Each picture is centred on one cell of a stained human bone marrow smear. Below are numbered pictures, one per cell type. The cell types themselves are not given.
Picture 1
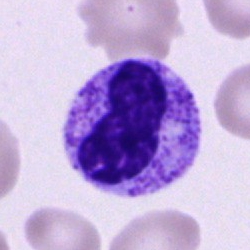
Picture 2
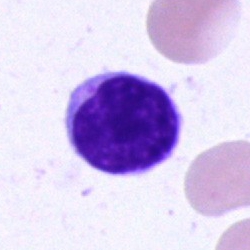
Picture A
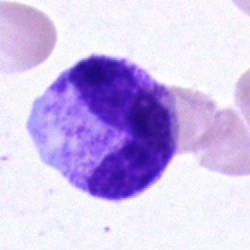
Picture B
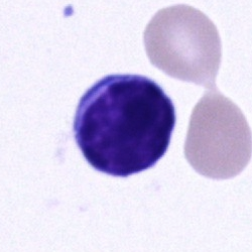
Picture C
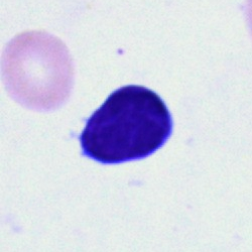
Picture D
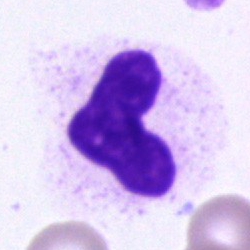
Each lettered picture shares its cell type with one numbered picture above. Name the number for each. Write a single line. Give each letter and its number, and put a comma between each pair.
A 1, B 2, C 2, D 1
